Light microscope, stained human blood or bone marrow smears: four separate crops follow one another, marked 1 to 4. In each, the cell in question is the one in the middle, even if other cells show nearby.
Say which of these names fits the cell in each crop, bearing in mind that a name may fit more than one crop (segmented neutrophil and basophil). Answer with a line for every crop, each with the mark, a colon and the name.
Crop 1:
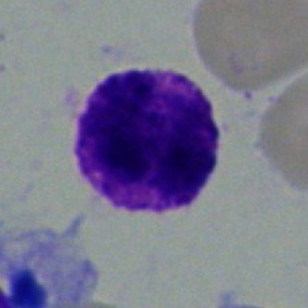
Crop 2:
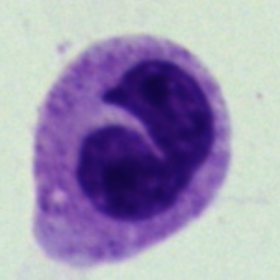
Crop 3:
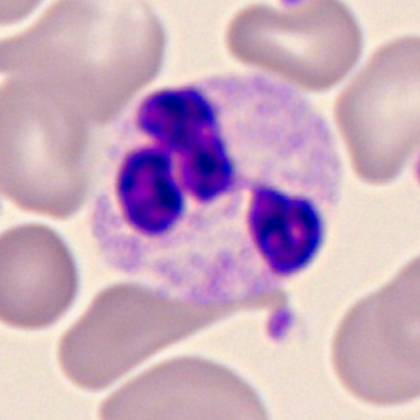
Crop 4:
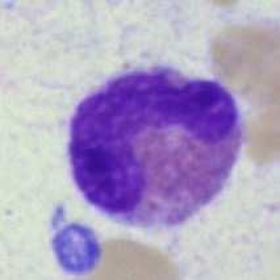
1: basophil
2: segmented neutrophil
3: segmented neutrophil
4: basophil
